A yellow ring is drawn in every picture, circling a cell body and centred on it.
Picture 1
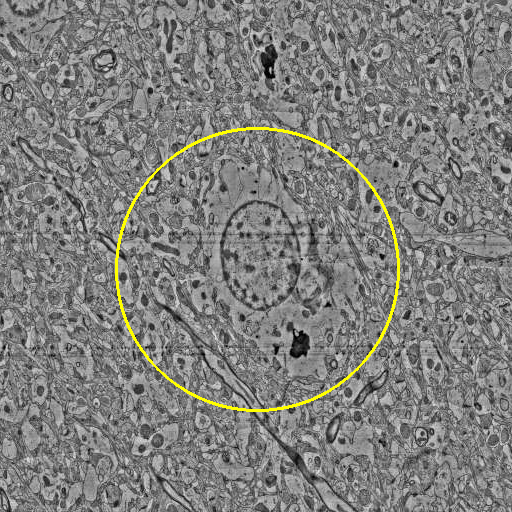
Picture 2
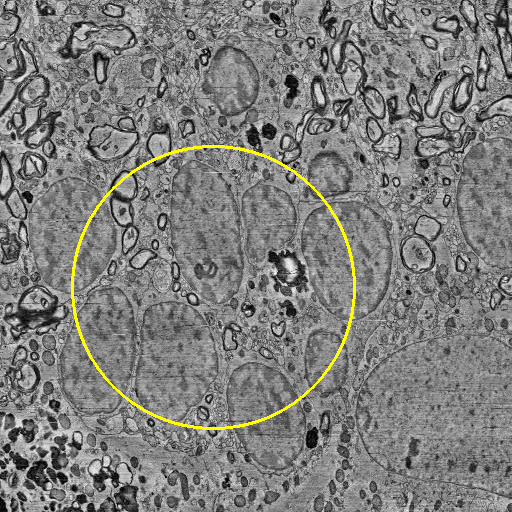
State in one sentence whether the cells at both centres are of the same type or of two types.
The cells at the two ring centres, one per picture, are of two types.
